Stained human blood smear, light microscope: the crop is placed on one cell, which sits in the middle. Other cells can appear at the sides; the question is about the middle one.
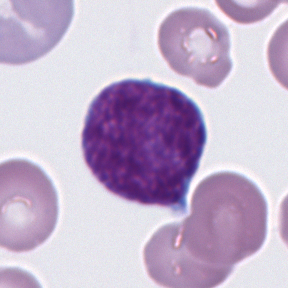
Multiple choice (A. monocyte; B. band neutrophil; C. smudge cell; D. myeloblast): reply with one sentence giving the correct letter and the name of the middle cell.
Seen at the centre of the crop is a myeloblast, so option D is correct.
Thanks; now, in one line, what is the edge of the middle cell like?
Seen at its edge, the cell is not smooth but ragged or projecting.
